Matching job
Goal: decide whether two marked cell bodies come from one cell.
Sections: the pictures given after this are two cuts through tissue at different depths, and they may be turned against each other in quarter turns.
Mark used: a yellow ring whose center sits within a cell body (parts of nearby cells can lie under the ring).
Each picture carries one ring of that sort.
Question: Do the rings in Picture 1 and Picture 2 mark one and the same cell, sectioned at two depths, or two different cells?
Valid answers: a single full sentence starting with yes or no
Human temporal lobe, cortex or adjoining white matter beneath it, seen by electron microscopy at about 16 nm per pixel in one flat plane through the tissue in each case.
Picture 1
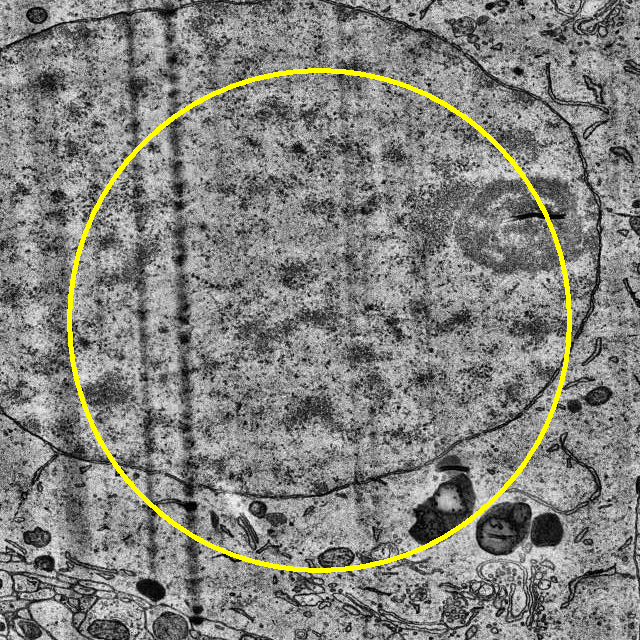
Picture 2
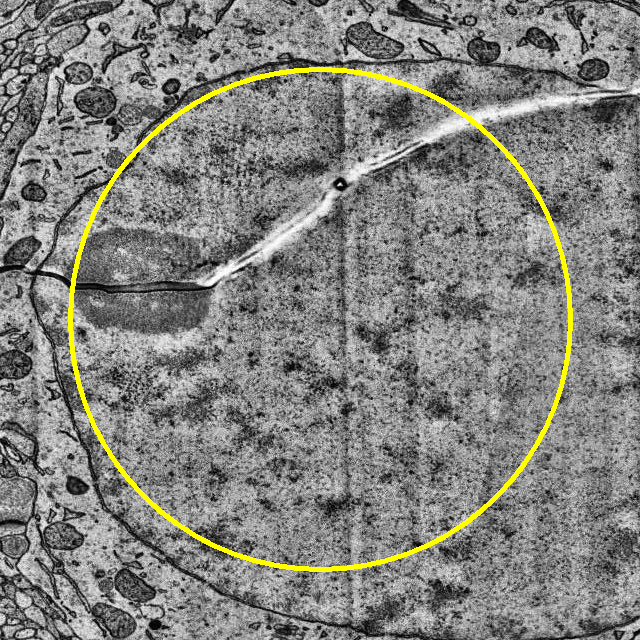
No, these yellow rings each mark a separate cell.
